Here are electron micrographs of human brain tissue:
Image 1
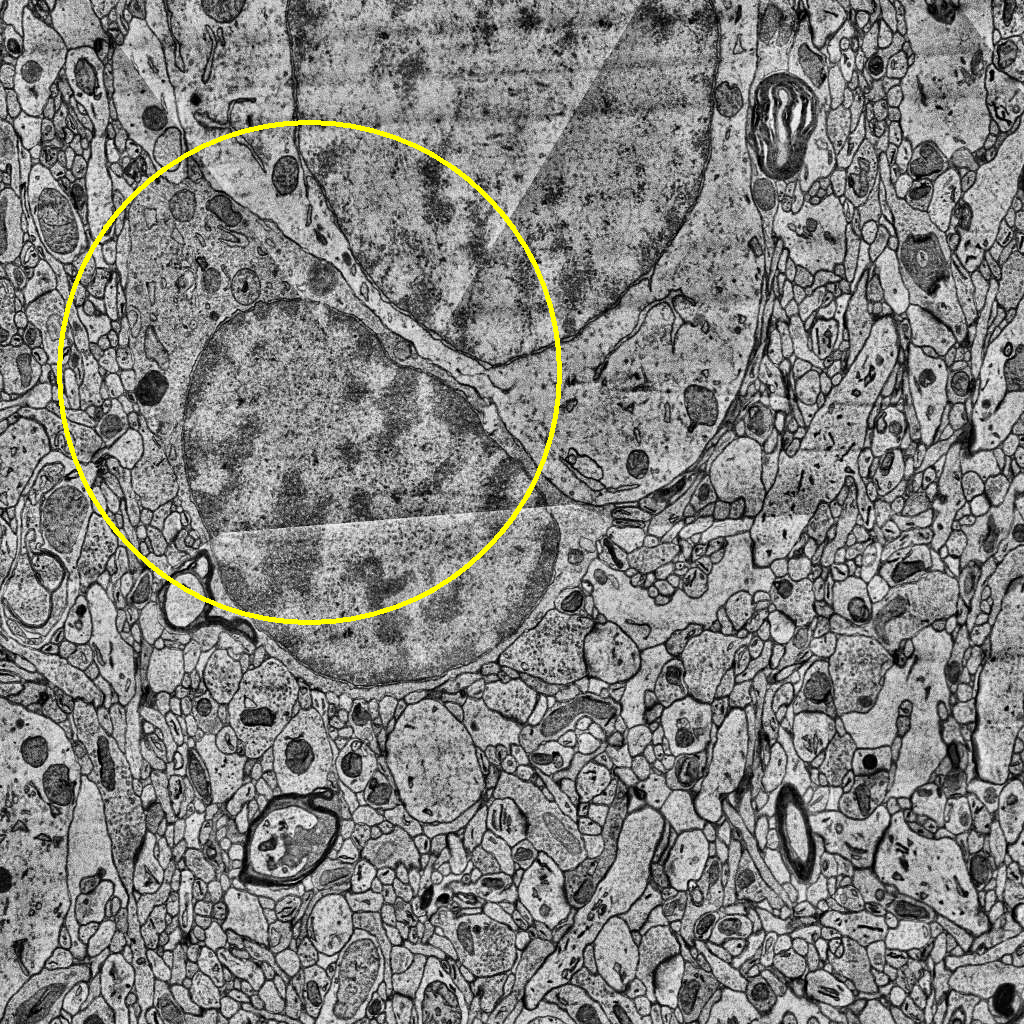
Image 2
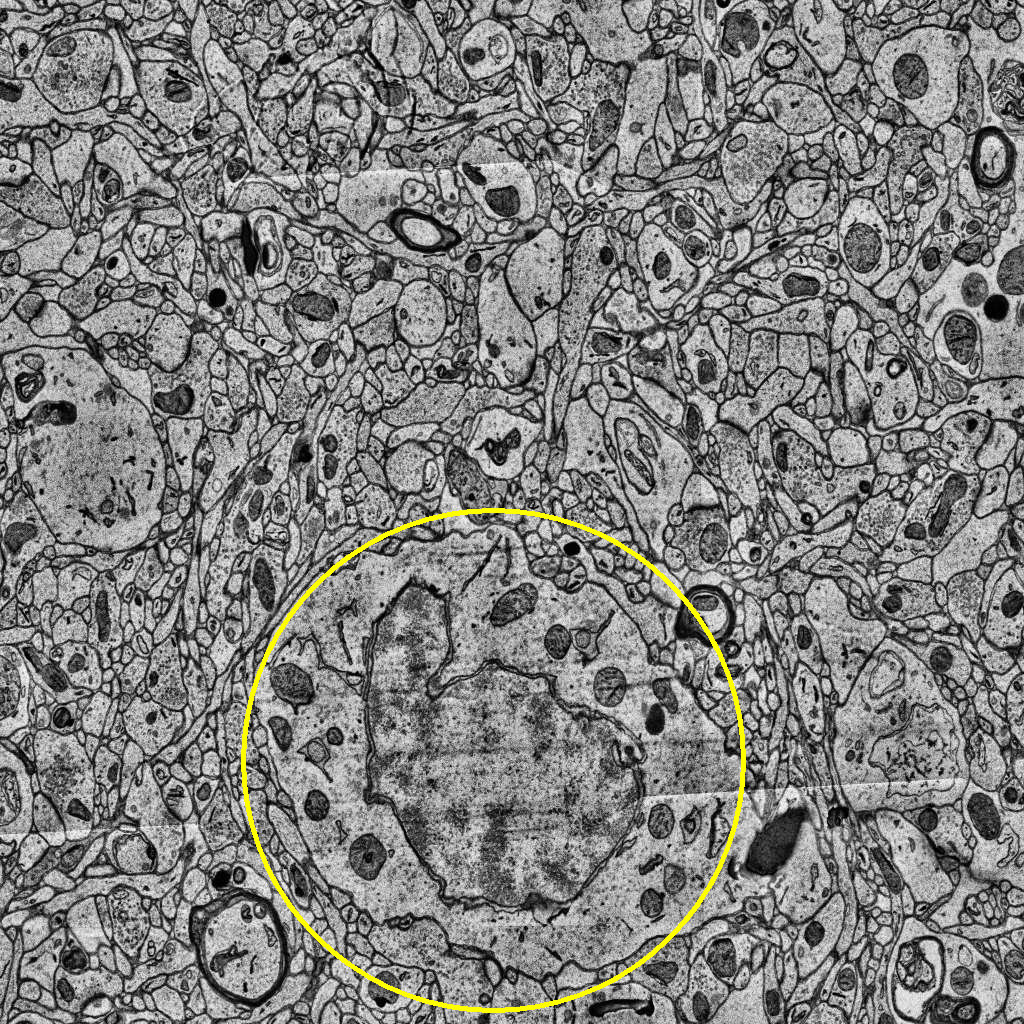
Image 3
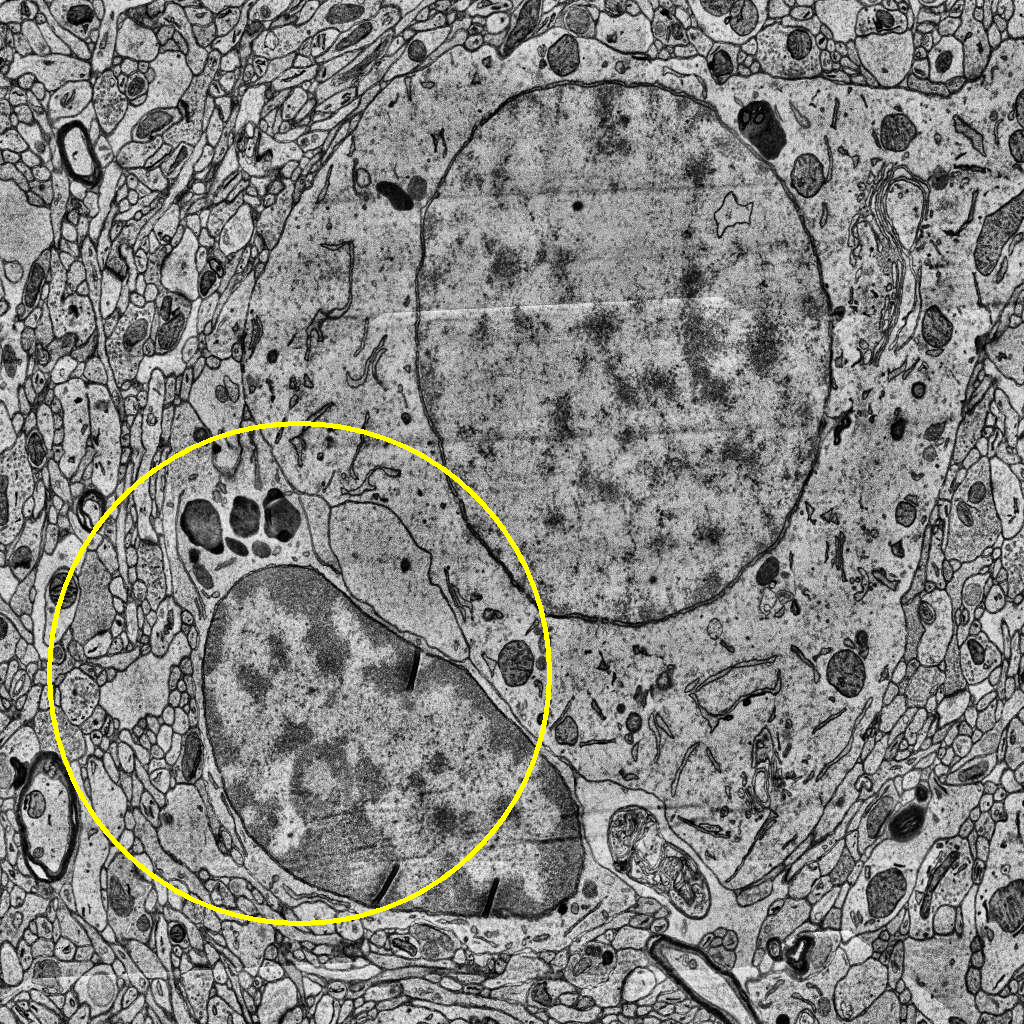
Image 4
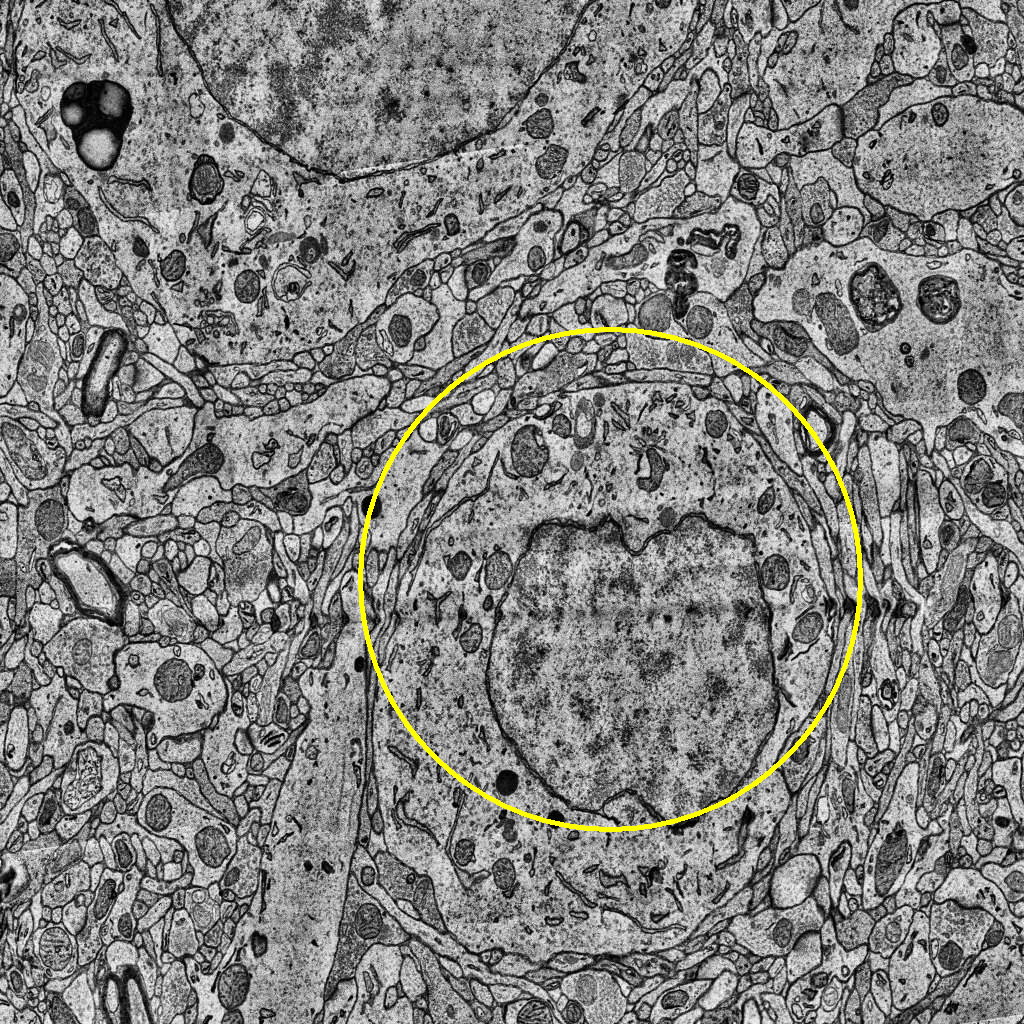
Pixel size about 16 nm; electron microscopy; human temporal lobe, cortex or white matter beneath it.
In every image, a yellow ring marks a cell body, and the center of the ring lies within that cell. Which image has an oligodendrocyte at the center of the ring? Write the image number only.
1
